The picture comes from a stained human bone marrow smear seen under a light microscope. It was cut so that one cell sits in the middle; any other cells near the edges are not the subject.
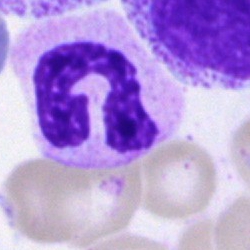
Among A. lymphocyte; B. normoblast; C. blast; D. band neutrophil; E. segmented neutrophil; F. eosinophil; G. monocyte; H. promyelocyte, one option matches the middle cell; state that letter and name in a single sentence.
Since the cell in the middle is a band neutrophil, option D is correct.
